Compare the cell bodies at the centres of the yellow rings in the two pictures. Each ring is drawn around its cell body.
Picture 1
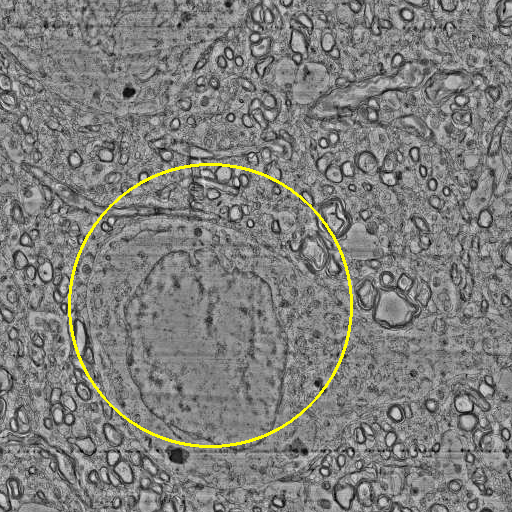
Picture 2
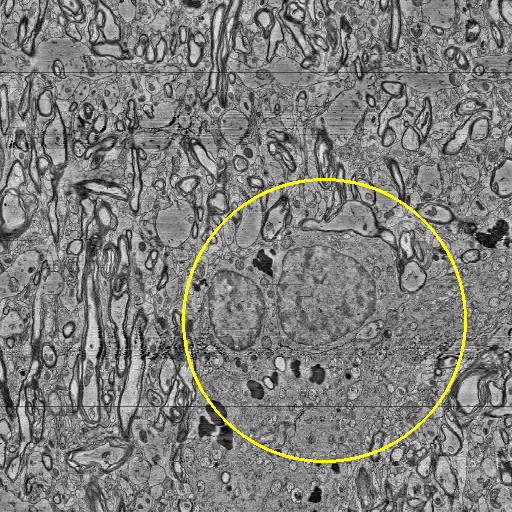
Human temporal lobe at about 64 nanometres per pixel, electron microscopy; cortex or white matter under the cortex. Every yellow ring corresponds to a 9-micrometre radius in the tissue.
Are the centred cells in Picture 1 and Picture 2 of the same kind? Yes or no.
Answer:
no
